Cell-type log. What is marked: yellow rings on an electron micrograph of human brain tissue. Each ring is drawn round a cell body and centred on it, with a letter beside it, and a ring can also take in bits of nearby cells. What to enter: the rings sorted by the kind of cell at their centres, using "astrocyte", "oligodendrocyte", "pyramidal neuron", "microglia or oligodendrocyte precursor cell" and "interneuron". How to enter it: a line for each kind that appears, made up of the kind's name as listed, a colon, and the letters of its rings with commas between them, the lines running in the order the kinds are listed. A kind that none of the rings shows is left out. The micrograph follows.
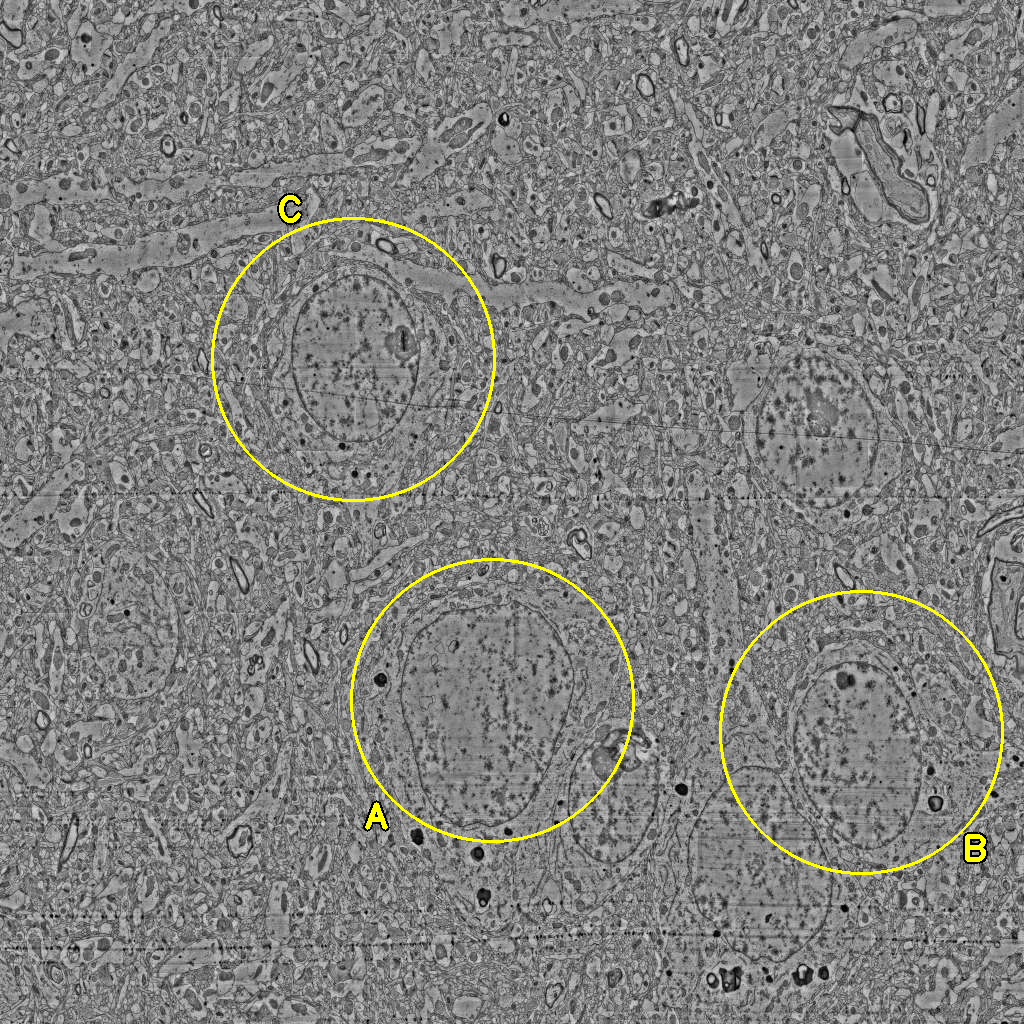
pyramidal neuron: A, B, C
